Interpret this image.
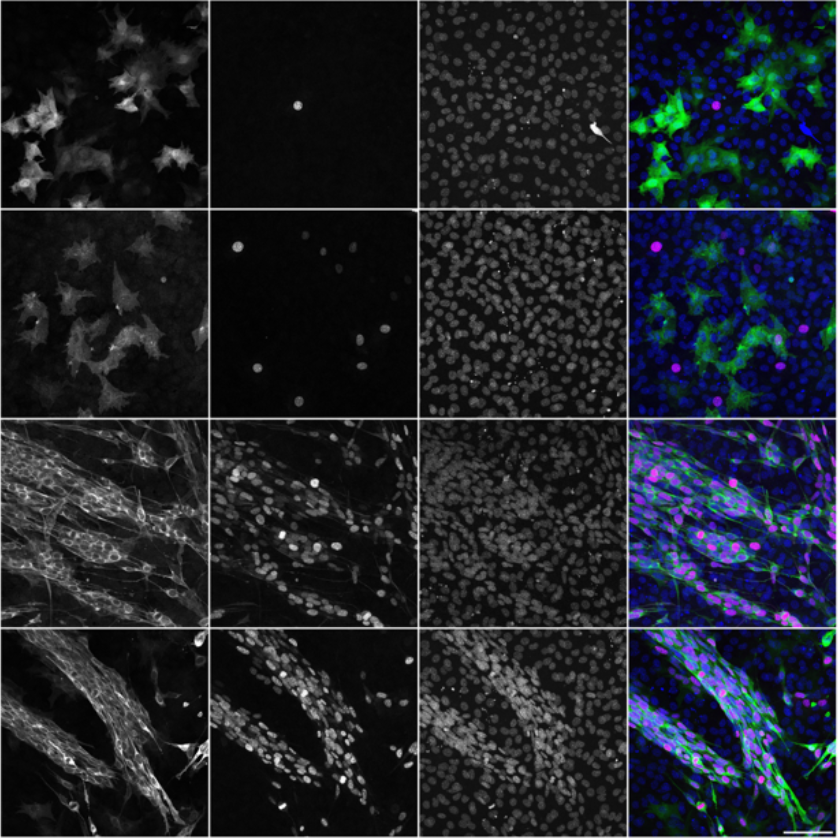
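Cultured cells in a grid of single channels and merges. In the upper two rows a flat monolayer of evenly spaced oval nuclei; scattered green cells are broad, flat and star-shaped with short processes; only a few magenta nuclei lie among many blue ones. In the lower two rows green cells are elongated and spindle-shaped, packed in parallel streams and ridges that lie over the monolayer. Nuclei within these streams are crowded and overlapping, and many of them are magenta, whereas nuclei of the surrounding flat layer are mostly blue only.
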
